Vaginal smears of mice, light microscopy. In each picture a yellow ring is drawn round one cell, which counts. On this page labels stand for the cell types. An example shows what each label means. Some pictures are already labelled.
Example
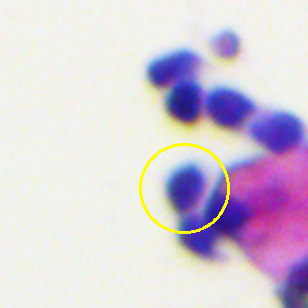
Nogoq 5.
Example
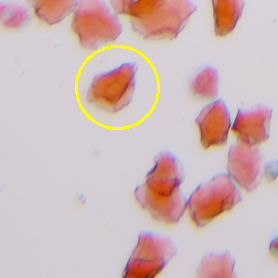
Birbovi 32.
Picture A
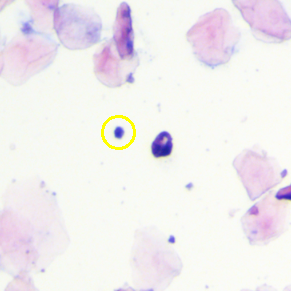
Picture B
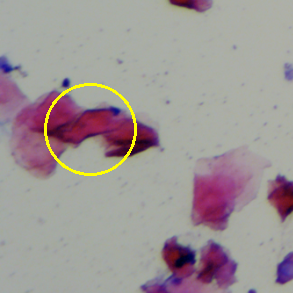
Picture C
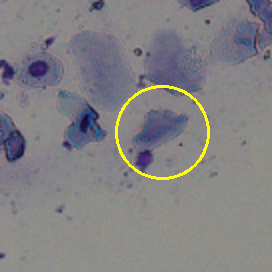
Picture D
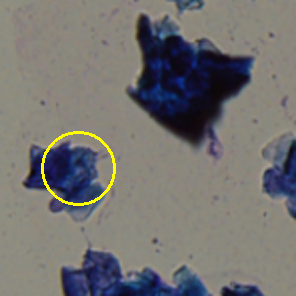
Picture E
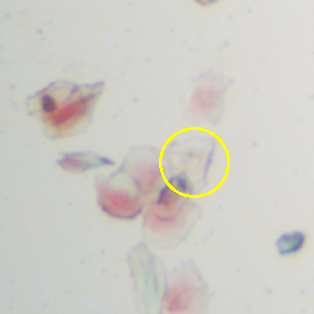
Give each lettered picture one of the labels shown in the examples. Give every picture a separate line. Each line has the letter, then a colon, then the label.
A: Nogoq 5.
B: Birbovi 32.
C: Birbovi 32.
D: Birbovi 32.
E: Birbovi 32.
